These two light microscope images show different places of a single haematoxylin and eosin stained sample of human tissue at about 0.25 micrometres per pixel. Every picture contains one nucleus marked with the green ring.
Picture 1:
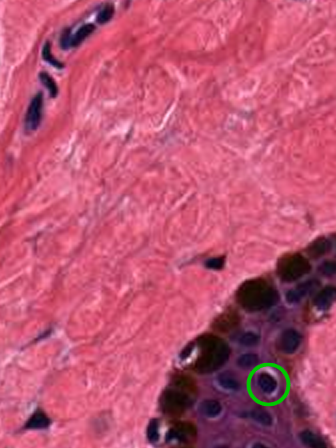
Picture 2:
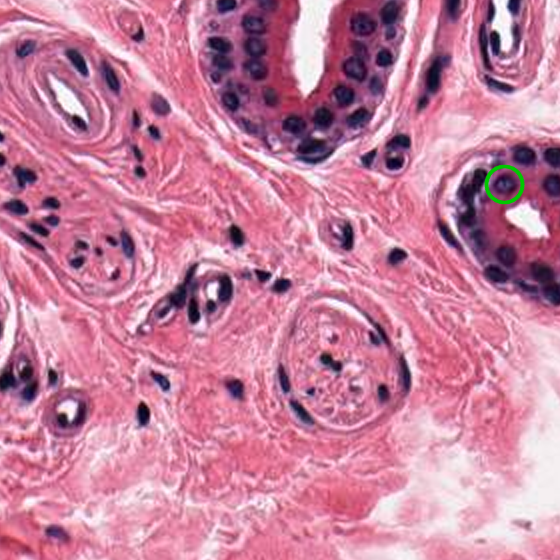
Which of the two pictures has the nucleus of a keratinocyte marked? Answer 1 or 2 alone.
1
